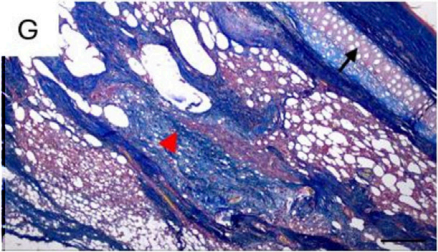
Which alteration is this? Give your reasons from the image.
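Broad irregular blue-stained areas spread through much of the field. Fat cells are scattered among the blue connective tissue.
Diffuse fibrosis.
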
